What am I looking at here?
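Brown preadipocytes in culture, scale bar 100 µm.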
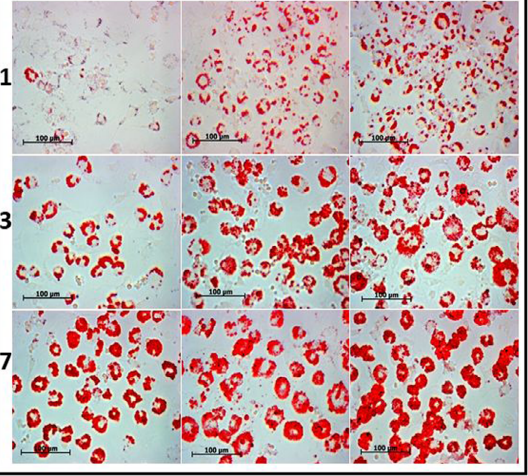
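Most cells have rounded up and their cytoplasm is filled with many small red droplets, often crowded together so that the cell looks like a red ring or a mottled red ball around a paler centre. In some fields the cells are sparse and only faintly speckled with red, with thin pale, flattened cells between them; in others the cells are dense and almost solidly red. The background between the cells is pale grey-green and unstained.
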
